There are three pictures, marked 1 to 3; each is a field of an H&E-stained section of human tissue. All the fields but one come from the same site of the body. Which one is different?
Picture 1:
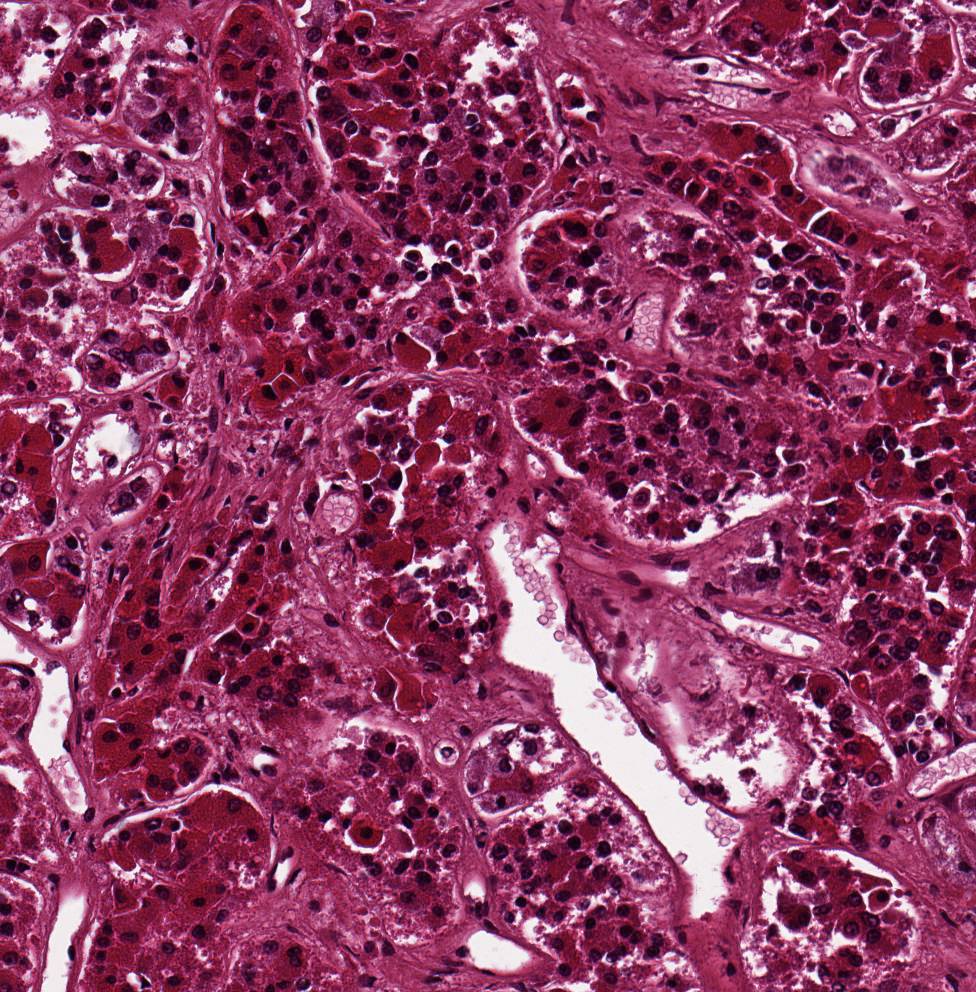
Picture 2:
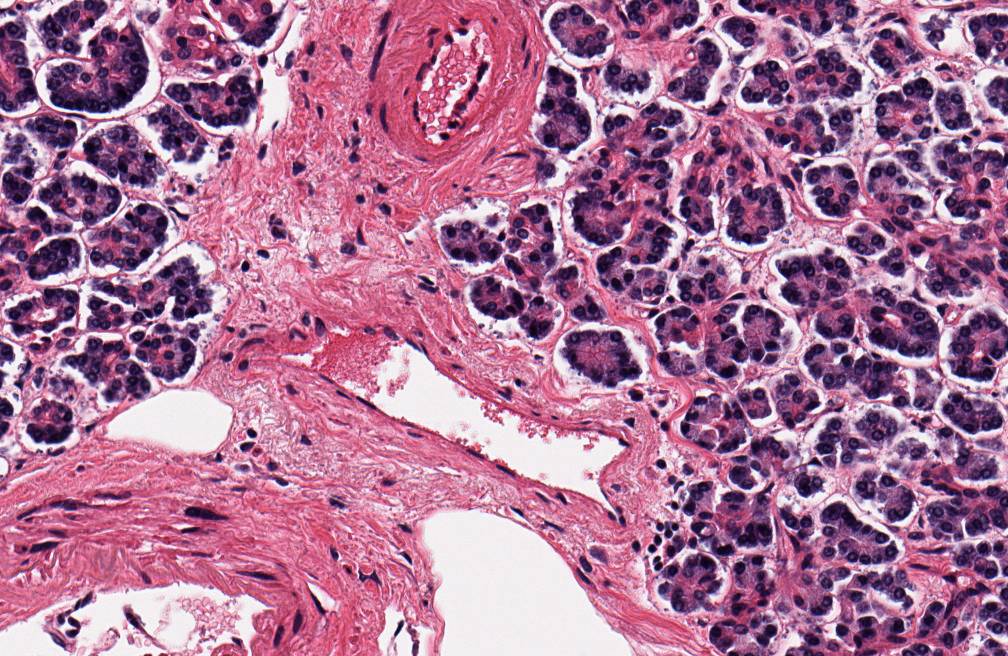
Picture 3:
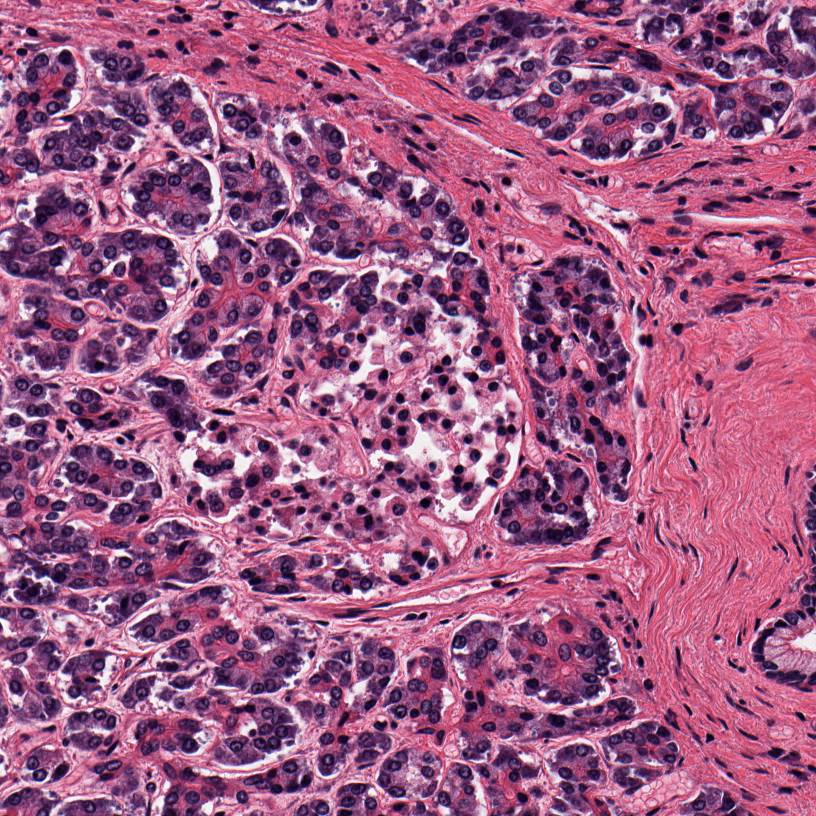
1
